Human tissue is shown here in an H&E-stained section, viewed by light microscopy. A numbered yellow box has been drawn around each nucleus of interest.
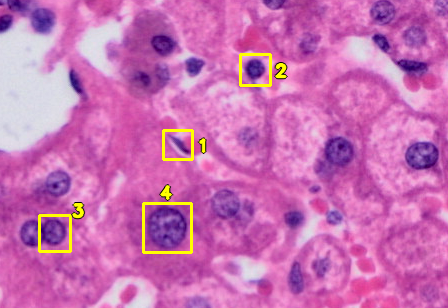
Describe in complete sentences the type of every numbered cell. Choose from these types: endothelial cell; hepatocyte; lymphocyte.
Cell 1 is an endothelial cell, cell 2 is a lymphocyte, cell 3 is a hepatocyte and cell 4 is a hepatocyte.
